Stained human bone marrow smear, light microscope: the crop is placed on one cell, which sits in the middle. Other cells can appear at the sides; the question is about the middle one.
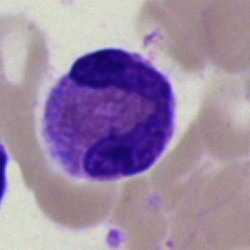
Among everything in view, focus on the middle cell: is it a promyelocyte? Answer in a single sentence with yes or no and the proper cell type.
No, the cell in the middle of the crop counts as an eosinophil and not as a promyelocyte.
